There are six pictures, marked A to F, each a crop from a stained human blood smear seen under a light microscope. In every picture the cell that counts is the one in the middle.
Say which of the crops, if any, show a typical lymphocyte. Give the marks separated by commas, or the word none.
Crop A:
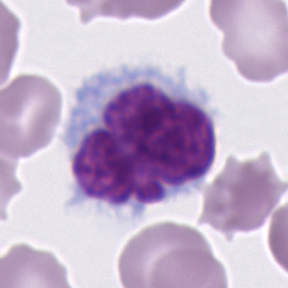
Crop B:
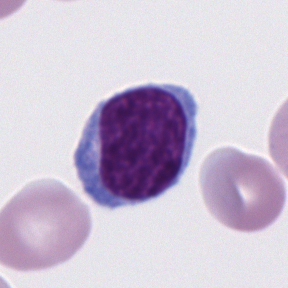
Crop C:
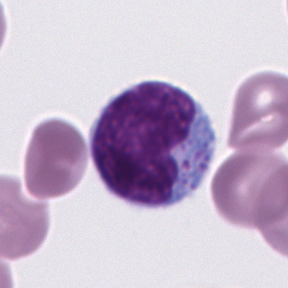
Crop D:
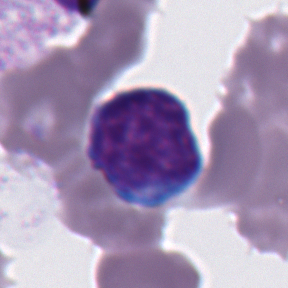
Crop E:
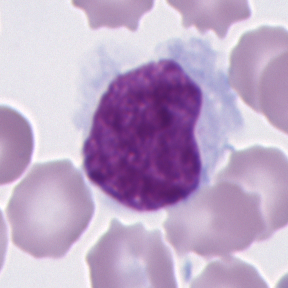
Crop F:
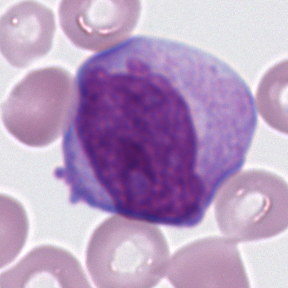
B, C, D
